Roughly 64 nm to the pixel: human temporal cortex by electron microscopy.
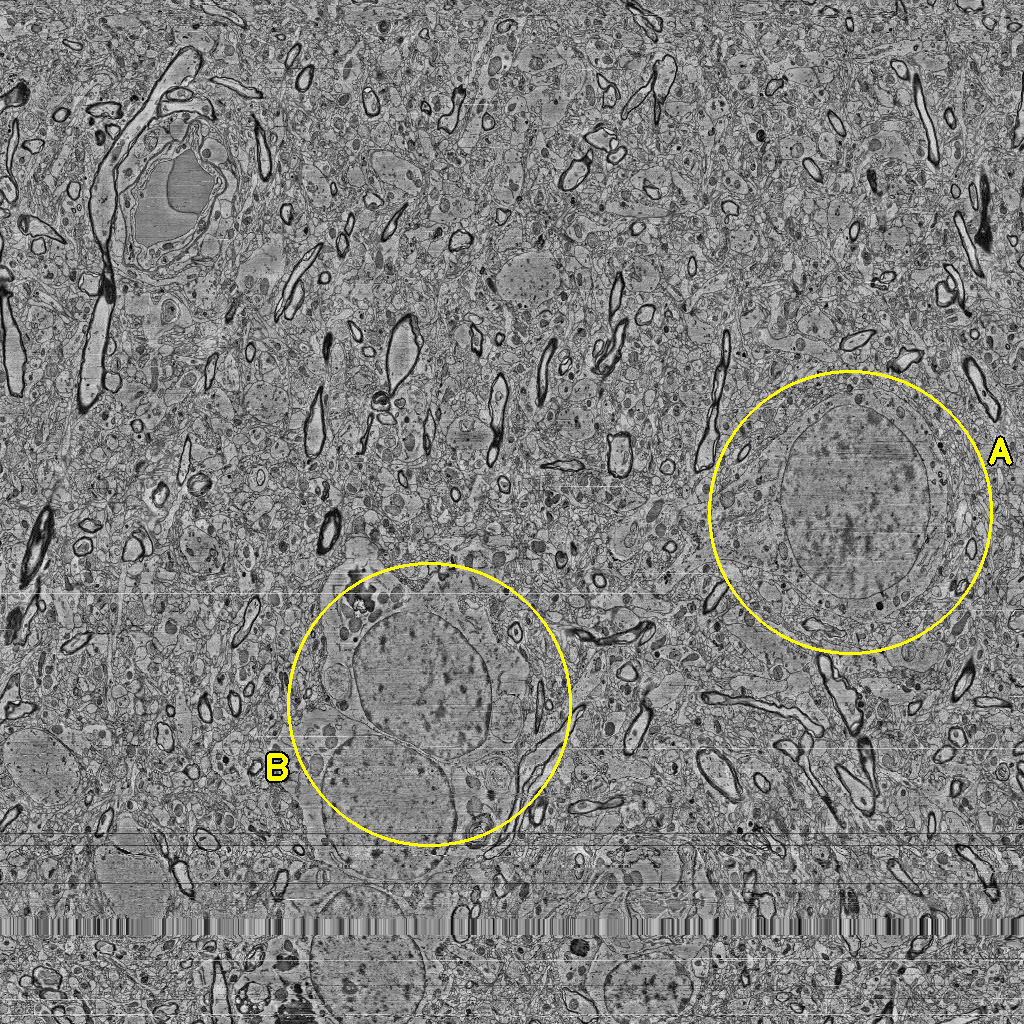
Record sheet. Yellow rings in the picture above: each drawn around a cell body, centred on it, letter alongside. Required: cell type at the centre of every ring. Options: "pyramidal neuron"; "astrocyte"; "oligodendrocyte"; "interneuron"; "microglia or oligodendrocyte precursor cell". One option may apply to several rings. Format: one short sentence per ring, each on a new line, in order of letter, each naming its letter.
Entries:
Ring A contains a pyramidal neuron at the centre.
Ring B contains an astrocyte at the centre.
